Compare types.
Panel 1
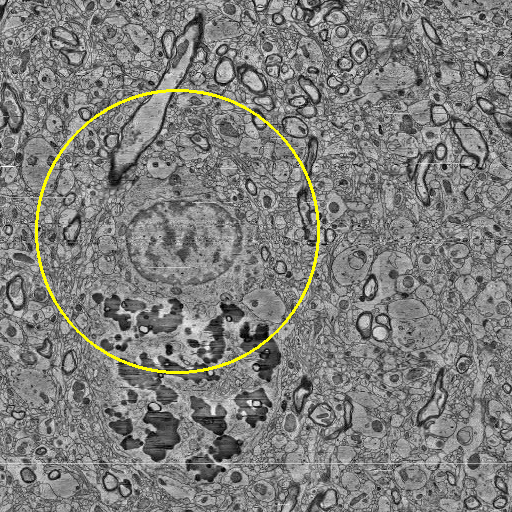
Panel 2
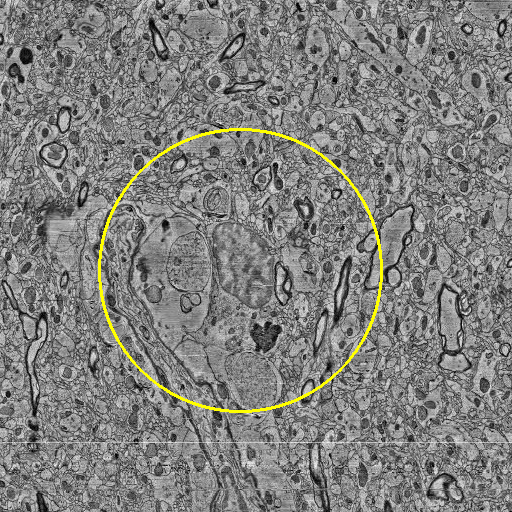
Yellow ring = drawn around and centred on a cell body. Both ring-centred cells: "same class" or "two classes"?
same class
